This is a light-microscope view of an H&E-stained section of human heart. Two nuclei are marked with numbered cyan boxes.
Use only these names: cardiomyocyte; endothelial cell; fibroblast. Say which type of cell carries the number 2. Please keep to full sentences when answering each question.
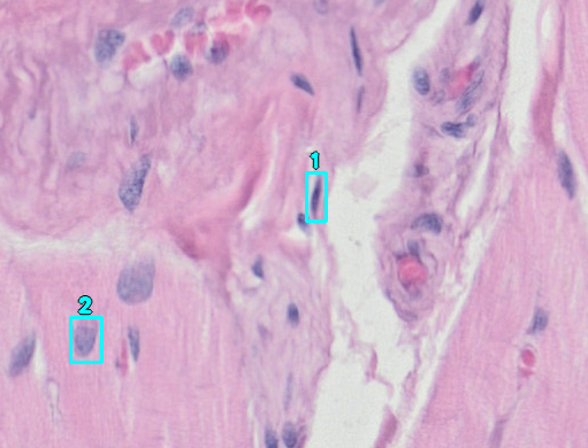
The nucleus labelled 2 belongs to a cardiomyocyte.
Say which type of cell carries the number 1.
Cell number 1 in this section is a fibroblast.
